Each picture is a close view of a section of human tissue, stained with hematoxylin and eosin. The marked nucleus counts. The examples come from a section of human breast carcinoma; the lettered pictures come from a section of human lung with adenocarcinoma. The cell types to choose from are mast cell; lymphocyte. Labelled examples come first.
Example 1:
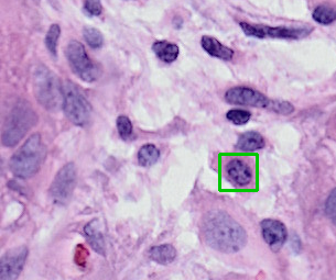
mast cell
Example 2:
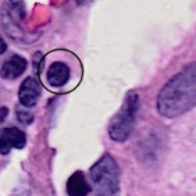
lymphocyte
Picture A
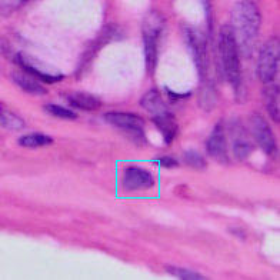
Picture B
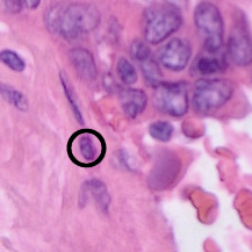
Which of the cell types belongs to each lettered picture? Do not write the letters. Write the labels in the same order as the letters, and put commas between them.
mast cell, mast cell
